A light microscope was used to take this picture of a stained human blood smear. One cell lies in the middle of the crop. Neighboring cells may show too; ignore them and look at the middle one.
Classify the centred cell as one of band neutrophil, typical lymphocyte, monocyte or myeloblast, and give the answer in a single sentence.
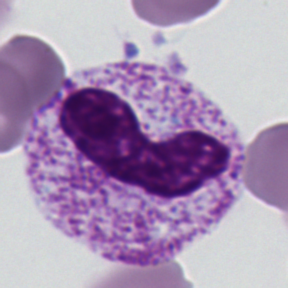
What sits at the centre of this crop is a band neutrophil.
